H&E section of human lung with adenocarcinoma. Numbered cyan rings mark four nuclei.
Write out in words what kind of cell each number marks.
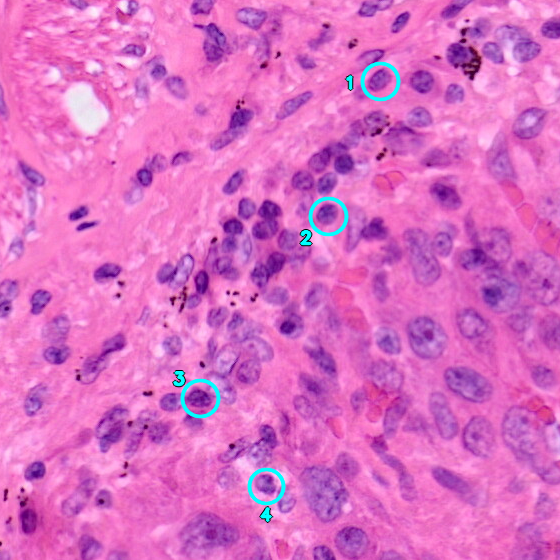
Cell 1 is a mast cell, cell 2 is a lymphocyte, cell 3 is a plasma cell and cell 4 is a lymphocyte.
